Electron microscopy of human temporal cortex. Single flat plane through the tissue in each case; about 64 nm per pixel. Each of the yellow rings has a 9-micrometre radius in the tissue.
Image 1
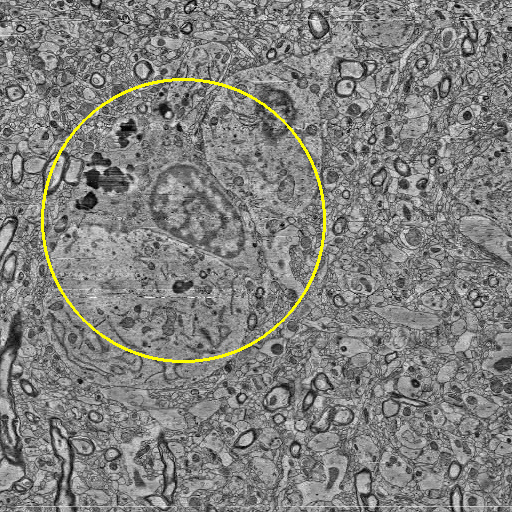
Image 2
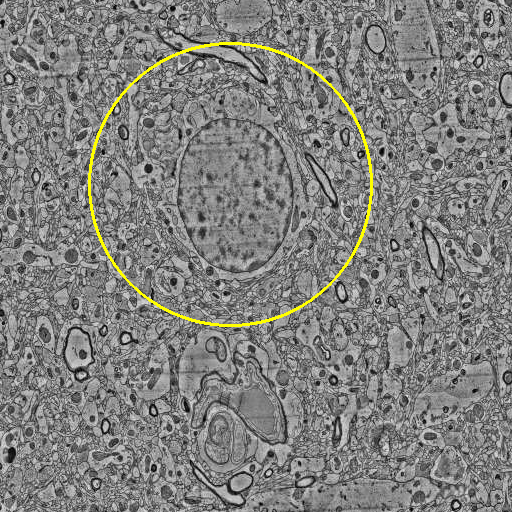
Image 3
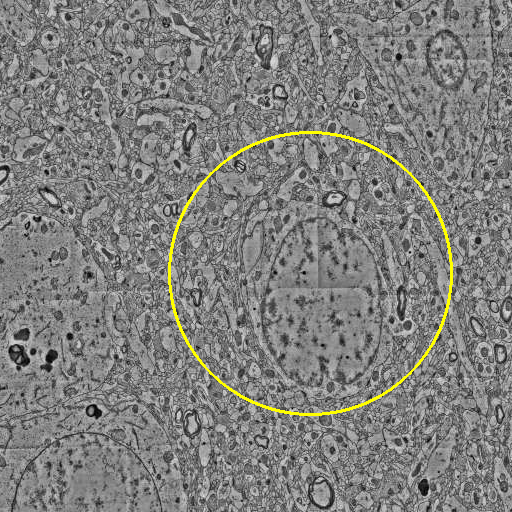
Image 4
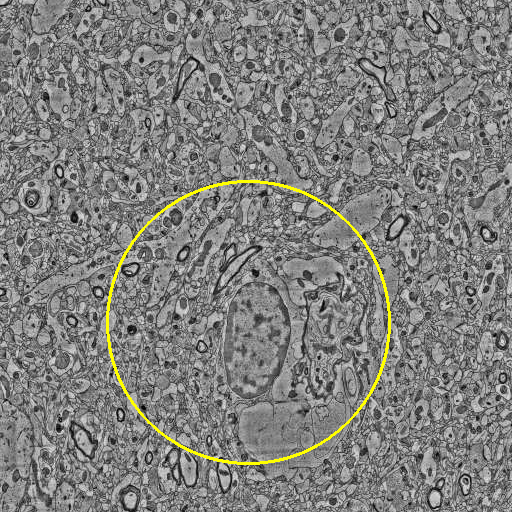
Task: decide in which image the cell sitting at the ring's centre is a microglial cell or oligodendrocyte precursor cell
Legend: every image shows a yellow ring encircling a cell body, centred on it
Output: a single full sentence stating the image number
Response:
In image 4, the cell at the middle of the ring is the match.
